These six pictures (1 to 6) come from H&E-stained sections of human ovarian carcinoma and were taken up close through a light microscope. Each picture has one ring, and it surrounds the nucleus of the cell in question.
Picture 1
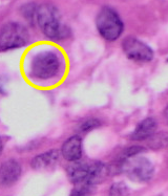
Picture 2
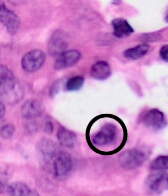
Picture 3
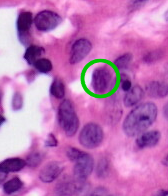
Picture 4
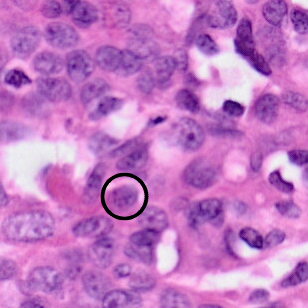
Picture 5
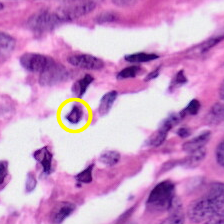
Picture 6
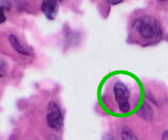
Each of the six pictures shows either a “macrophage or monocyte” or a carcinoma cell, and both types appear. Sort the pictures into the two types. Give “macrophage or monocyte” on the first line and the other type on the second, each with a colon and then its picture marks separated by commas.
macrophage or monocyte: 2, 6
carcinoma cell: 1, 3, 4, 5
